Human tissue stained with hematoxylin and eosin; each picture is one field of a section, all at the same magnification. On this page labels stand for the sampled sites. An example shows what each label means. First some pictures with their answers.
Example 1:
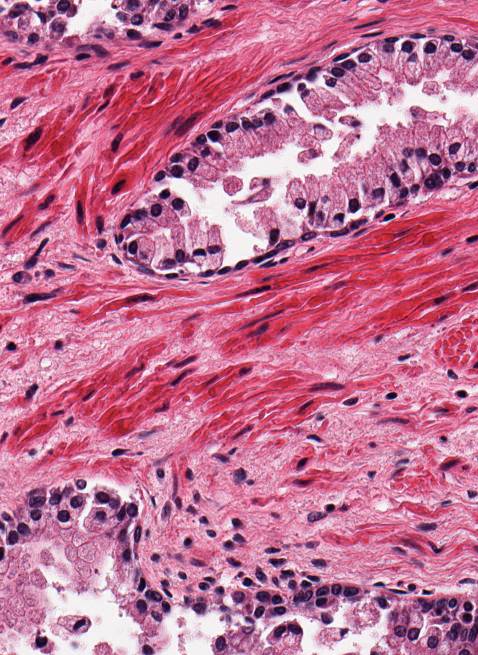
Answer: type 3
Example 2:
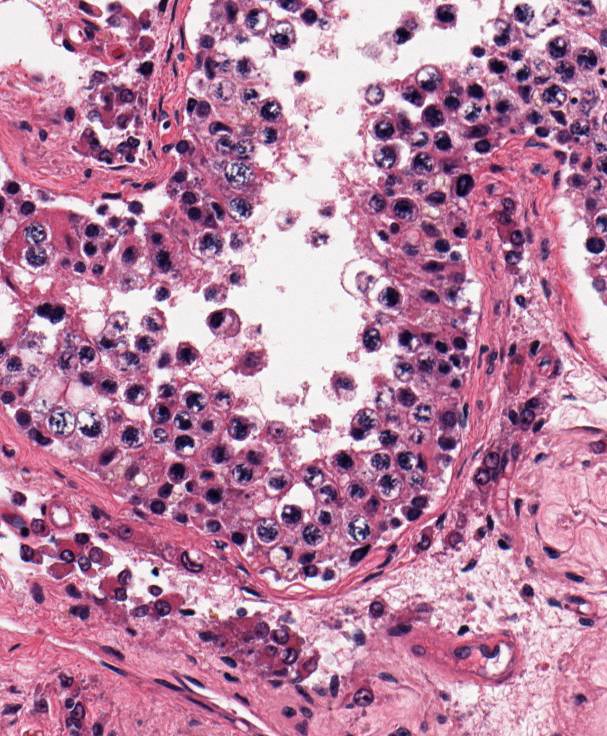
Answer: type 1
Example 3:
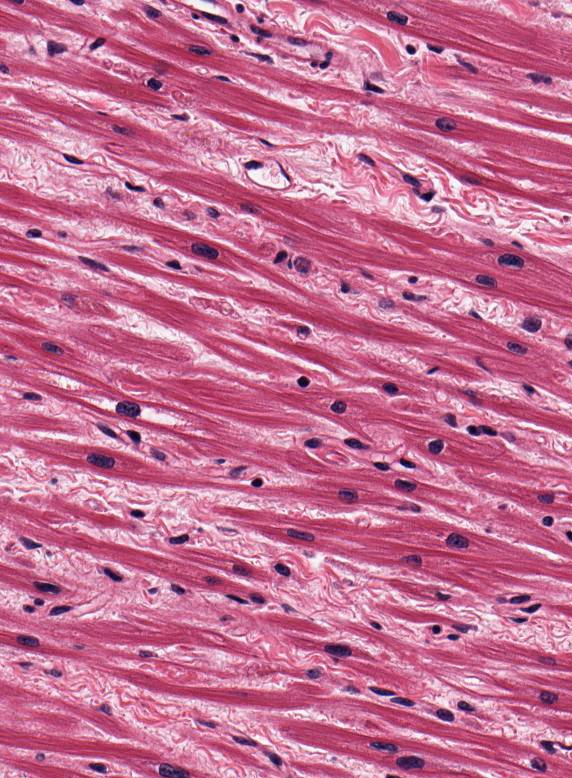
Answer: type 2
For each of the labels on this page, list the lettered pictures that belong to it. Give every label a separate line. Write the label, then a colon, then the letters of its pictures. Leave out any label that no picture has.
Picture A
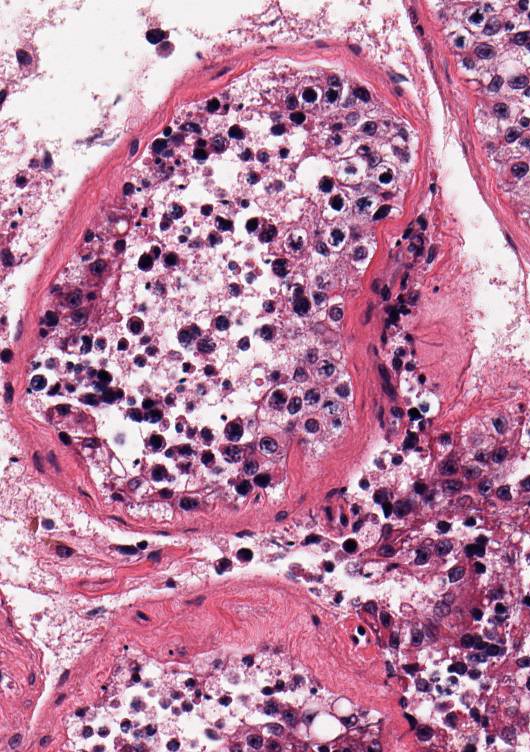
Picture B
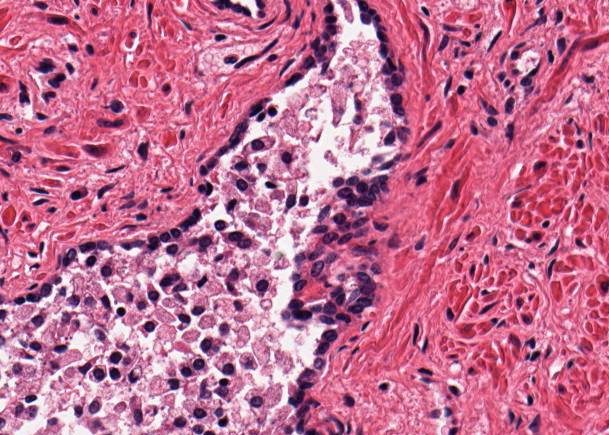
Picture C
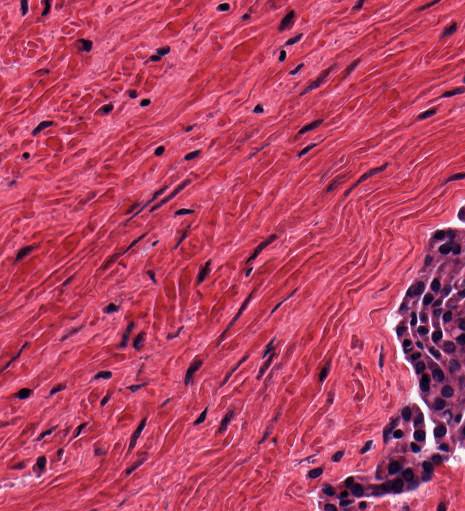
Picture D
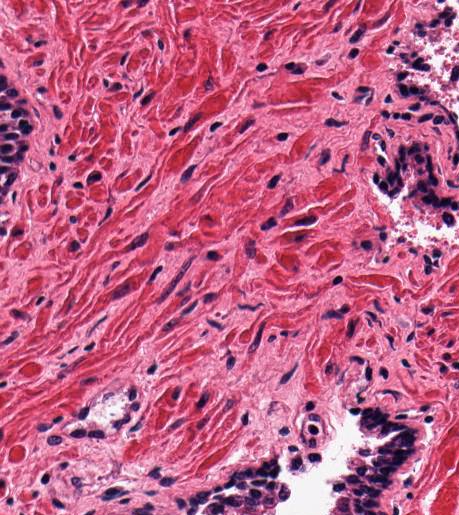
type 3: B, C, D
type 1: A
